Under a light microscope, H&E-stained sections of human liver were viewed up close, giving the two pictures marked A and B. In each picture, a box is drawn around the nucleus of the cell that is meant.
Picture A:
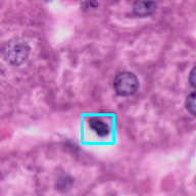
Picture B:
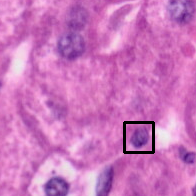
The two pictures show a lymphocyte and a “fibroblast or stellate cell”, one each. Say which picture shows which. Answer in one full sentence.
The cell in picture A is a lymphocyte, and the one in picture B is a “fibroblast or stellate cell”.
